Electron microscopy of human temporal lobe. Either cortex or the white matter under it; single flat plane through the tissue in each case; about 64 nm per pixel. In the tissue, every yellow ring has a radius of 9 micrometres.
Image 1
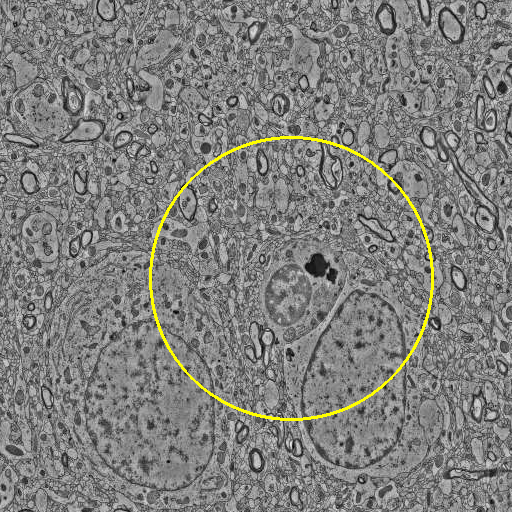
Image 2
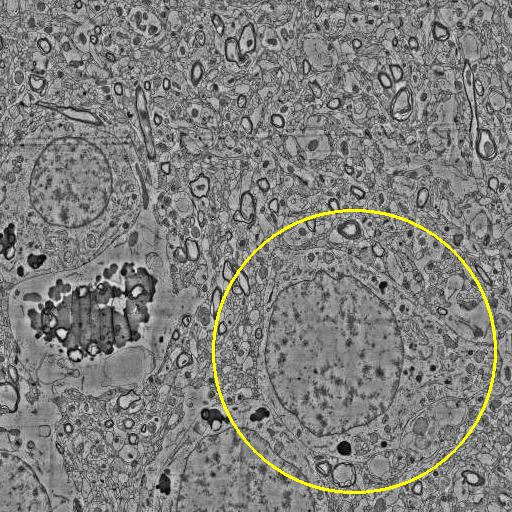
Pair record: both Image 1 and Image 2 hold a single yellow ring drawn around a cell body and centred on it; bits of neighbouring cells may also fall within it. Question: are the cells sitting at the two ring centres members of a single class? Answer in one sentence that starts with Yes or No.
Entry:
No, the ring-centre cells in Image 1 and Image 2 come from two classes.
